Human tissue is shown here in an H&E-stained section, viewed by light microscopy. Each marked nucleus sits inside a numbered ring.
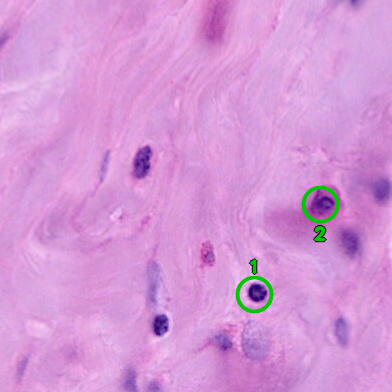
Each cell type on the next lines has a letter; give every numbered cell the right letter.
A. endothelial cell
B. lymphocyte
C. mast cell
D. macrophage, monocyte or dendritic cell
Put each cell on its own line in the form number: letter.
1: B
2: C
